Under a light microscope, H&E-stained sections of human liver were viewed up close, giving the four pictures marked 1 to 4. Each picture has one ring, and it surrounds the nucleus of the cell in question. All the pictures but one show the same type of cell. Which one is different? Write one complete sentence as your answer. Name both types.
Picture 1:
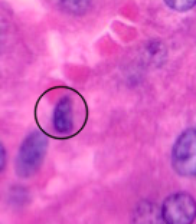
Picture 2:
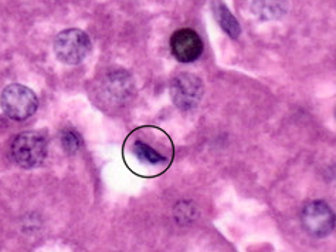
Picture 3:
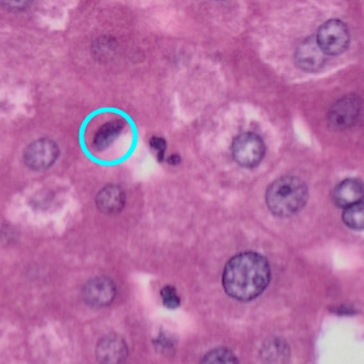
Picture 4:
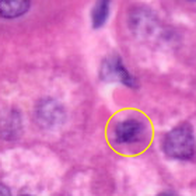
The others show “fibroblasts or stellate cells”, but picture 2 shows an endothelial cell.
